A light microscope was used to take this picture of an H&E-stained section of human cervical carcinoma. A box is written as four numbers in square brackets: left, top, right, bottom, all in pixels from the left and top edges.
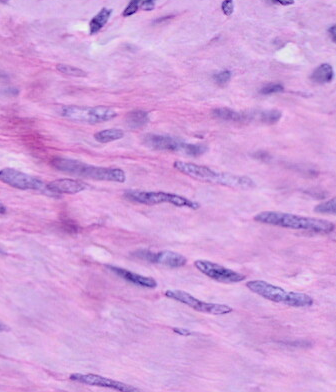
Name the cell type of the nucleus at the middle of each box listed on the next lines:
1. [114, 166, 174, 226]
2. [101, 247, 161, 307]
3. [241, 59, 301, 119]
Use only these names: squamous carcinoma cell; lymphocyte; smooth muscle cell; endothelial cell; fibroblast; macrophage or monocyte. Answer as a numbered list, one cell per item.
1. smooth muscle cell
2. fibroblast
3. fibroblast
